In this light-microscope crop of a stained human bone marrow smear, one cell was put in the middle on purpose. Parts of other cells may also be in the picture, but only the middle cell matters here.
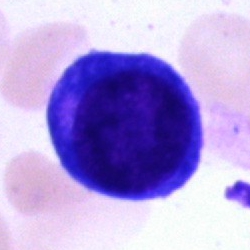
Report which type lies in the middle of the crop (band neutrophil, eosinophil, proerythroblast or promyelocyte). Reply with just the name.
proerythroblast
